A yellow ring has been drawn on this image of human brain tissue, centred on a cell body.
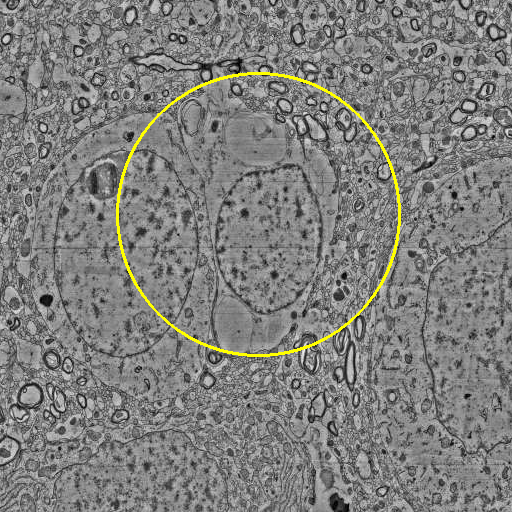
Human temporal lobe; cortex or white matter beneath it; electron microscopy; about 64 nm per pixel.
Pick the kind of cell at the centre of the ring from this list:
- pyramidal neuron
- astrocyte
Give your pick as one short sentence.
The centre of the ring holds an astrocyte.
